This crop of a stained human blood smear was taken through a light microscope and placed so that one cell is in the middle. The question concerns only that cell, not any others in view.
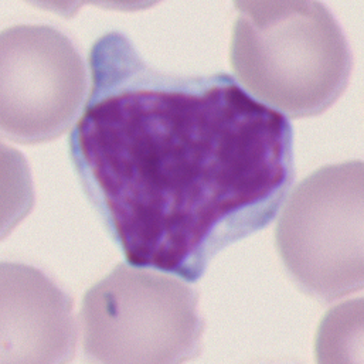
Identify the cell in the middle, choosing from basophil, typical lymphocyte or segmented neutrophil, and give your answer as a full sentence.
The central cell in this smear crop is a typical lymphocyte.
